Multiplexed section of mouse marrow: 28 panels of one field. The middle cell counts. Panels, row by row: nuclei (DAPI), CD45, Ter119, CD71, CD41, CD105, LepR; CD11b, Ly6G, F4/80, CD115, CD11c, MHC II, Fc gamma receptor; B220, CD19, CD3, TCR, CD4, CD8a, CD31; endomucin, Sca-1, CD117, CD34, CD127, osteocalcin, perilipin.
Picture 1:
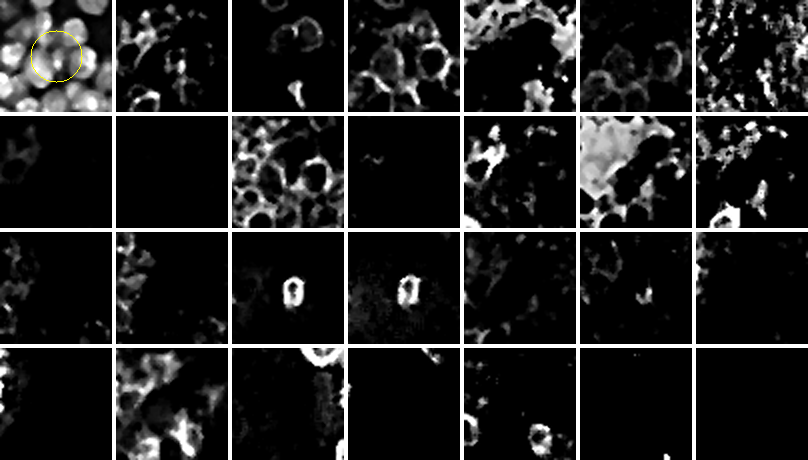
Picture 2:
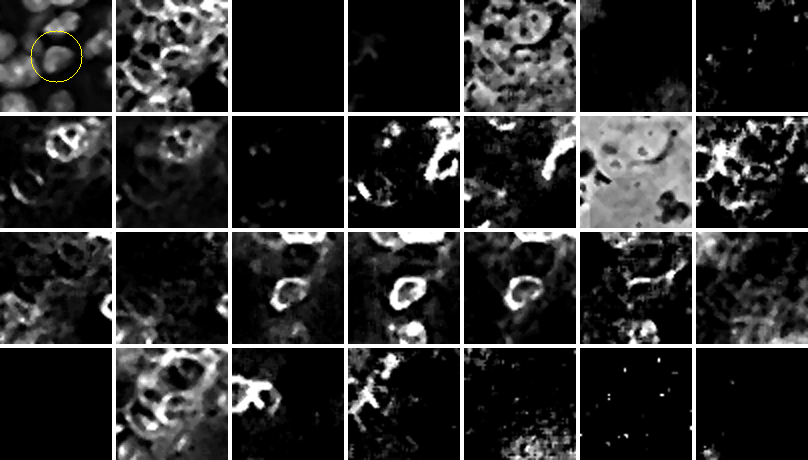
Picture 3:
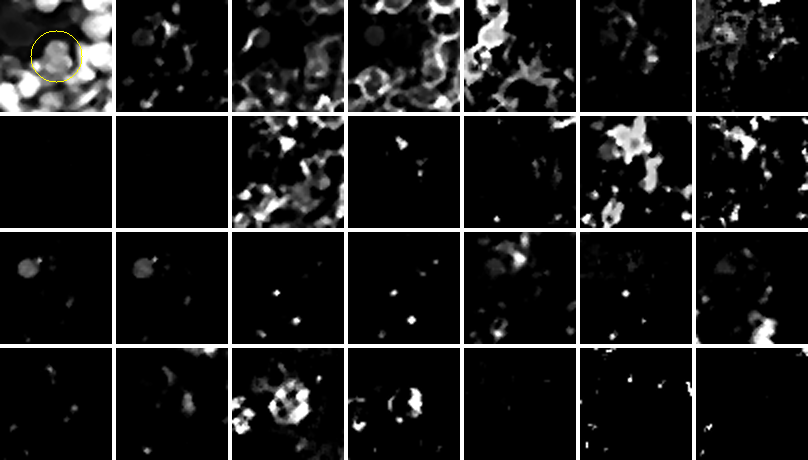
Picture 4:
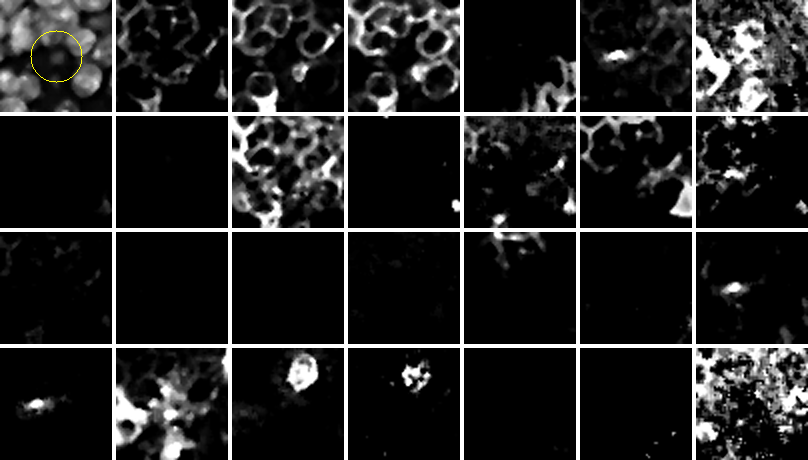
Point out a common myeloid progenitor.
That is picture 3.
